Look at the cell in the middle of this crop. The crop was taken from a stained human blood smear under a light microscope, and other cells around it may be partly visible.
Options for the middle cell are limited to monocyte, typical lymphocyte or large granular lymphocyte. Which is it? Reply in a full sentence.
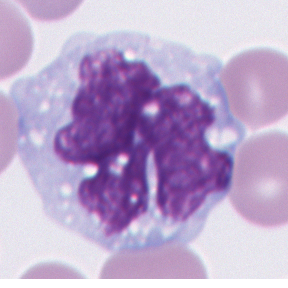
In the middle of this smear crop, the cell is a monocyte.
